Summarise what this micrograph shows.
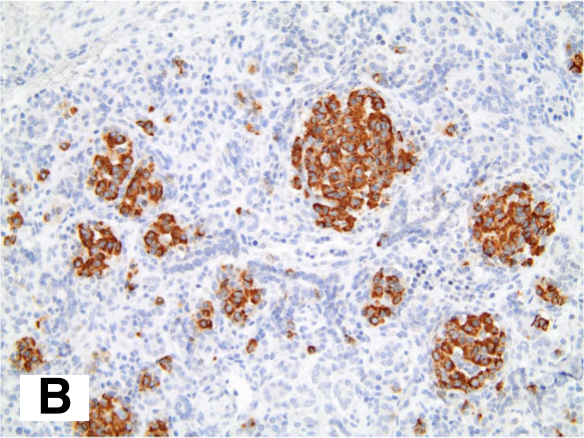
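Pancreas with several islets of varying size scattered in exocrine tissue. The islet cells carry dense brown cytoplasmic stain that fills each rounded cluster from rim to centre. Small groups and single brown cells also lie among the surrounding tissue. The surrounding exocrine cells are unstained, with small round blue nuclei, arranged in closely packed nests and small tubules. Thin pale connective tissue separates the groups.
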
